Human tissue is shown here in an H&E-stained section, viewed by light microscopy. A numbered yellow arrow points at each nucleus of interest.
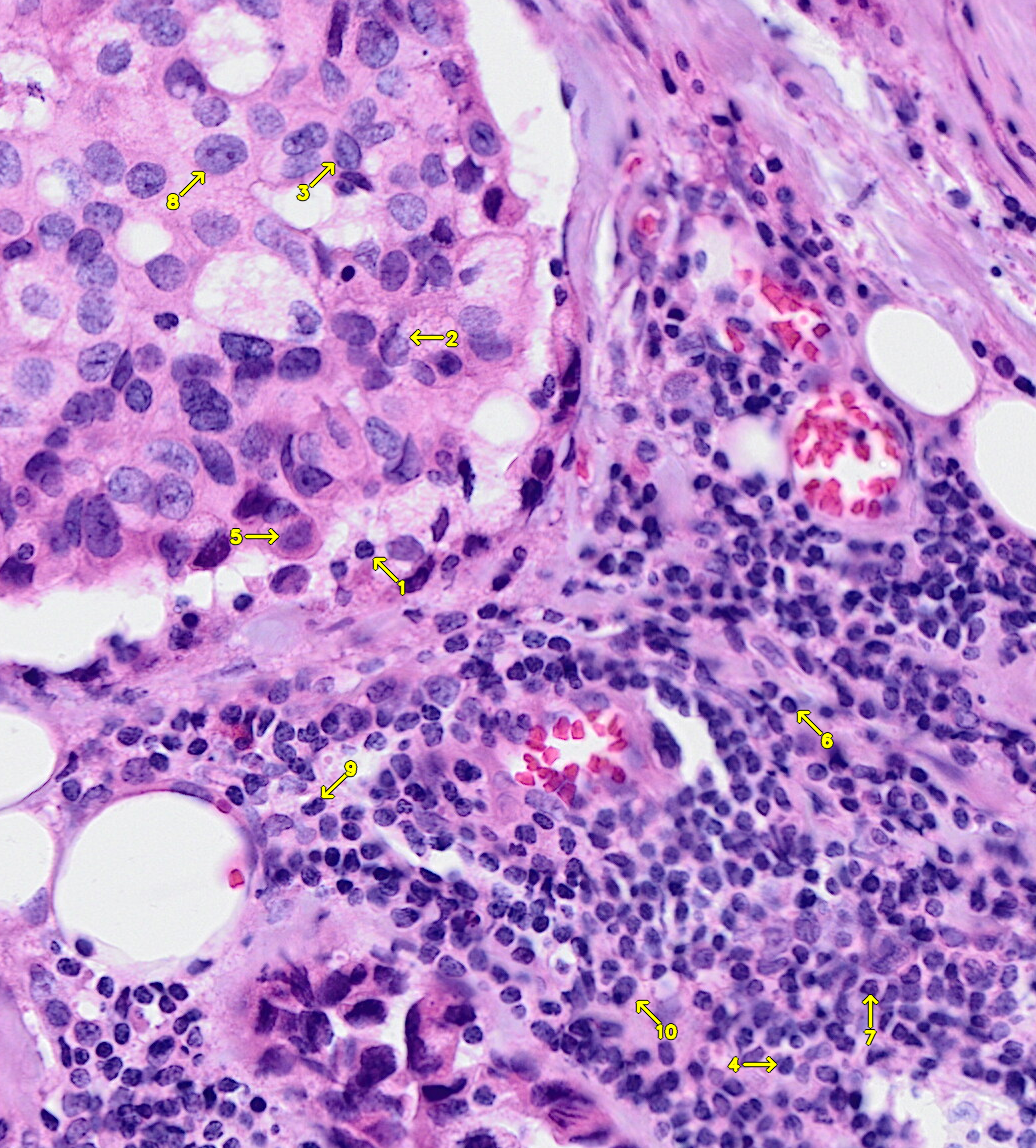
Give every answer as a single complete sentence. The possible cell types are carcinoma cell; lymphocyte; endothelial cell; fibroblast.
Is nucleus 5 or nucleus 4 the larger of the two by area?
Number 5 is larger; its area is about 2.5 times that of number 4.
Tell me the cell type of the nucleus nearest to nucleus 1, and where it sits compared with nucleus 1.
A lymphocyte lies closest, below and to the left of nucleus 1.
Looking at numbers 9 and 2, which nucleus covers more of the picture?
The larger nucleus is 2, at roughly 3 times the area of 9.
